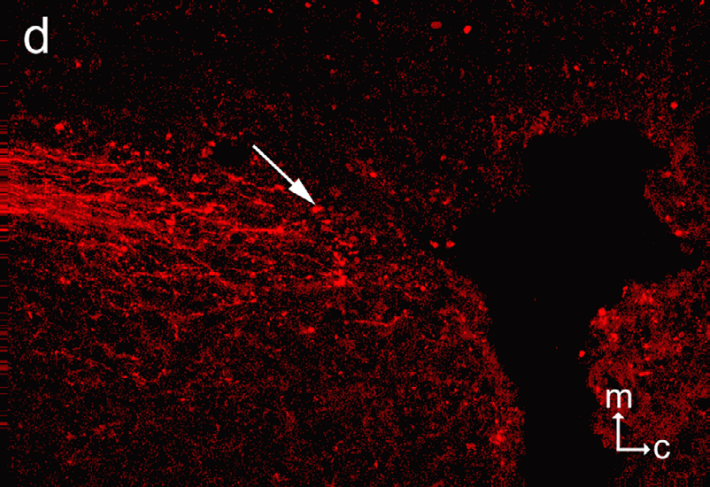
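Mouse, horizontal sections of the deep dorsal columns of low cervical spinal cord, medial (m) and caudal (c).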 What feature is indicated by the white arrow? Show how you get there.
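Large end bulbs. The arrow points to a rounded red swelling at the end of a labelled fibre. The fibres stop short of a large black hole to the right.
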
